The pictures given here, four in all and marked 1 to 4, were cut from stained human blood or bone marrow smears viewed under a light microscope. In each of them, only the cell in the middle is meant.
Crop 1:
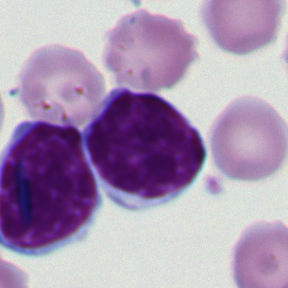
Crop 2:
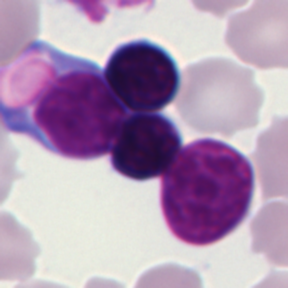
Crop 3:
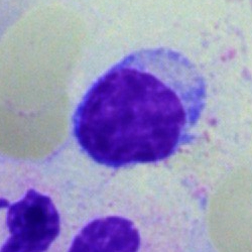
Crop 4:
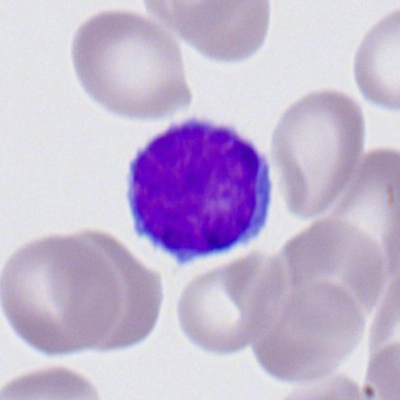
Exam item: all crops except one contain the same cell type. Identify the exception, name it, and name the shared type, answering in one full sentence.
While crop 2 shows a blast, the other crops all show lymphocytes.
